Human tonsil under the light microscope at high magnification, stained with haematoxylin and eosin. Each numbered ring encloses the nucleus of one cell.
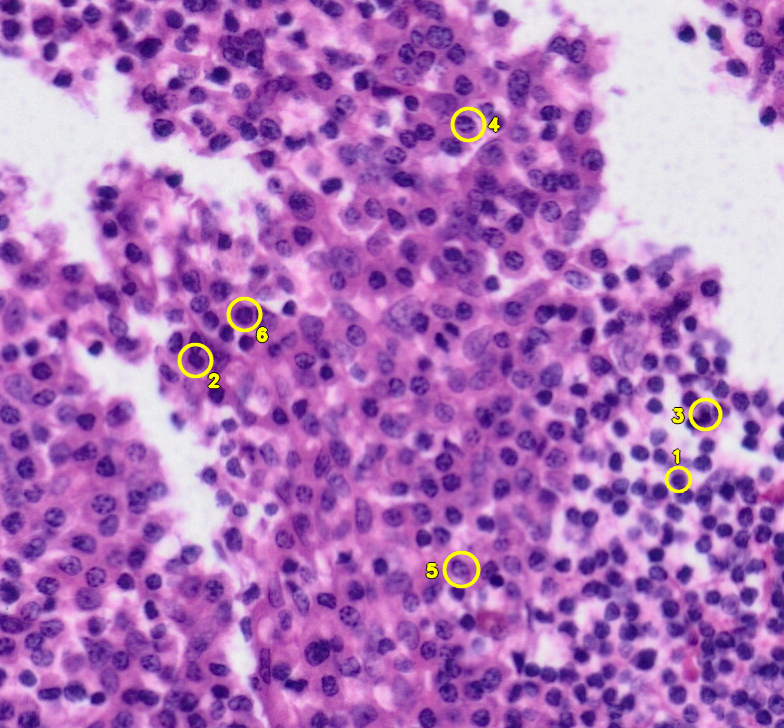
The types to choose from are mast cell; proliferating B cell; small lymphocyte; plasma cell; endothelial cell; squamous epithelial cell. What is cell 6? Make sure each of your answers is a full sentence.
Classified as a plasma cell is the cell with the number 6.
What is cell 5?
Cell 5 in the field is a plasma cell.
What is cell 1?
Marked with the number 1, this cell is a small lymphocyte.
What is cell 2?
Looking at the numbered marks, cell 2 is a plasma cell.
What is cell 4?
The cell numbered 4 has been identified as a plasma cell.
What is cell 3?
At number 3, the marked cell is a small lymphocyte.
